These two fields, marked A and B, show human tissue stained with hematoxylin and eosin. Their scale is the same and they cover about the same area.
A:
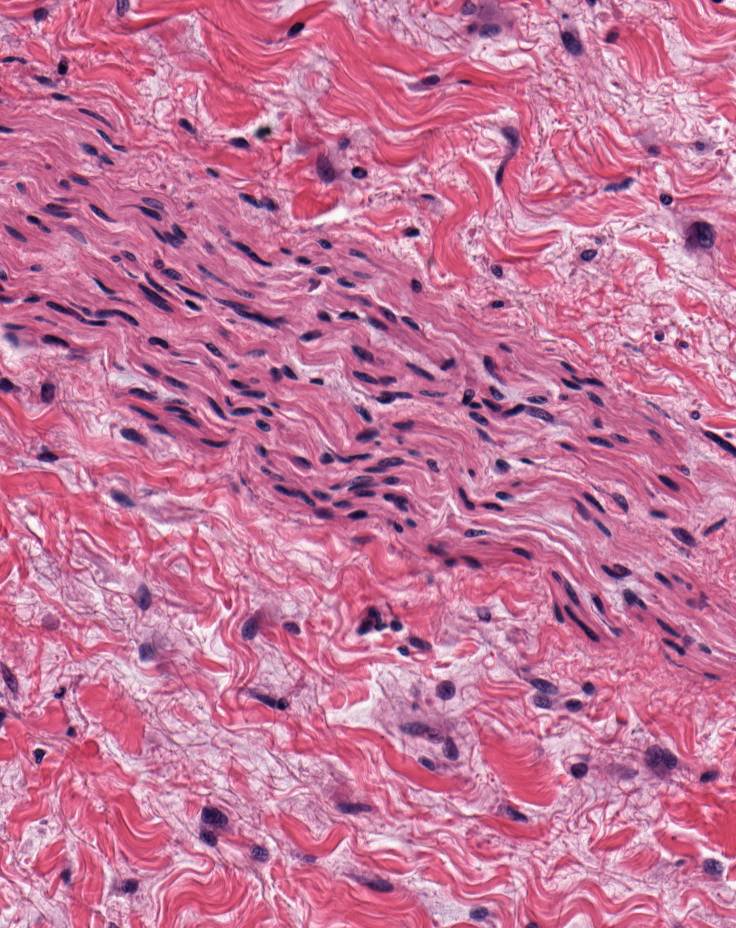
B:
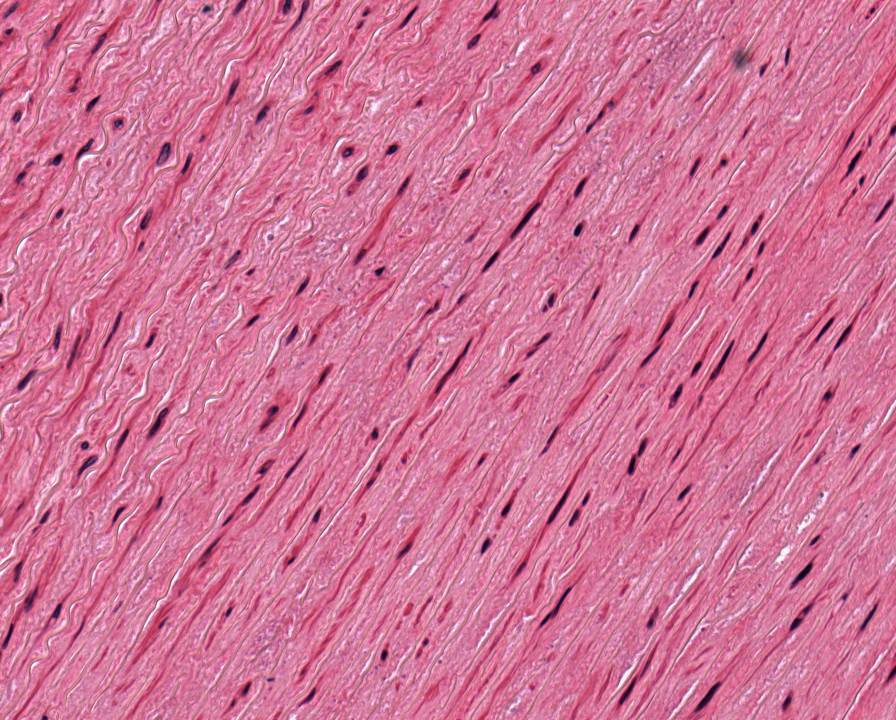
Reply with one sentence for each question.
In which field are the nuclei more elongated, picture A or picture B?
The nuclei are more elongated in picture B.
